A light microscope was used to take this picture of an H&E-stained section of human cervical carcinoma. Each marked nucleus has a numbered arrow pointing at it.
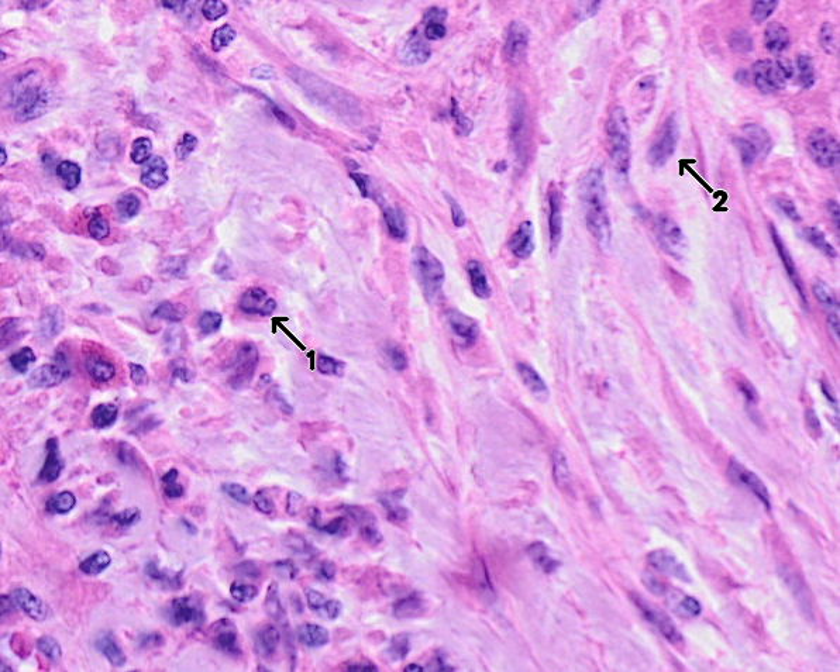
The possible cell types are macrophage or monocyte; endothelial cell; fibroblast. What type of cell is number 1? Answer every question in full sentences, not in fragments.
The cell that goes by number 1 is a macrophage or monocyte.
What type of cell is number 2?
Cell number 2 in this section is a fibroblast.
